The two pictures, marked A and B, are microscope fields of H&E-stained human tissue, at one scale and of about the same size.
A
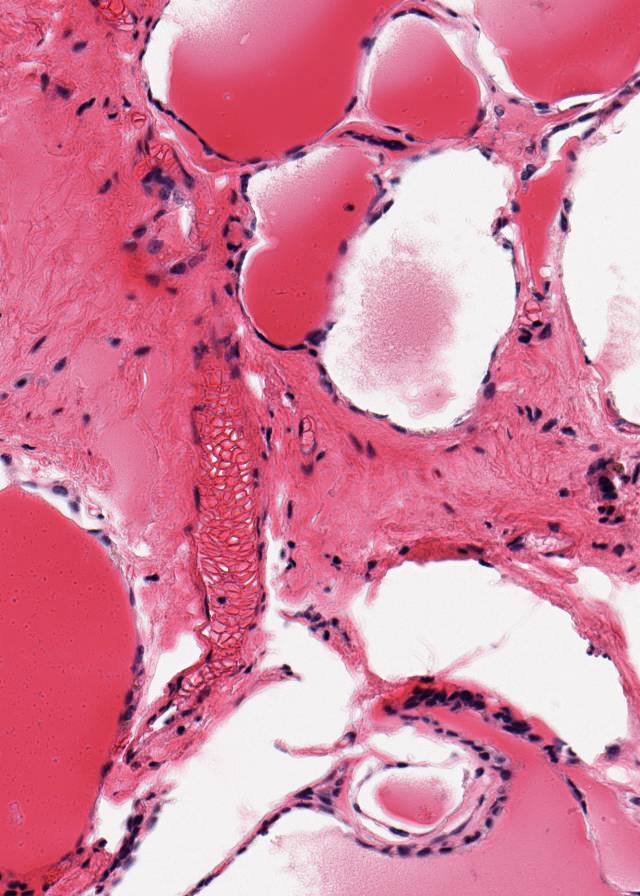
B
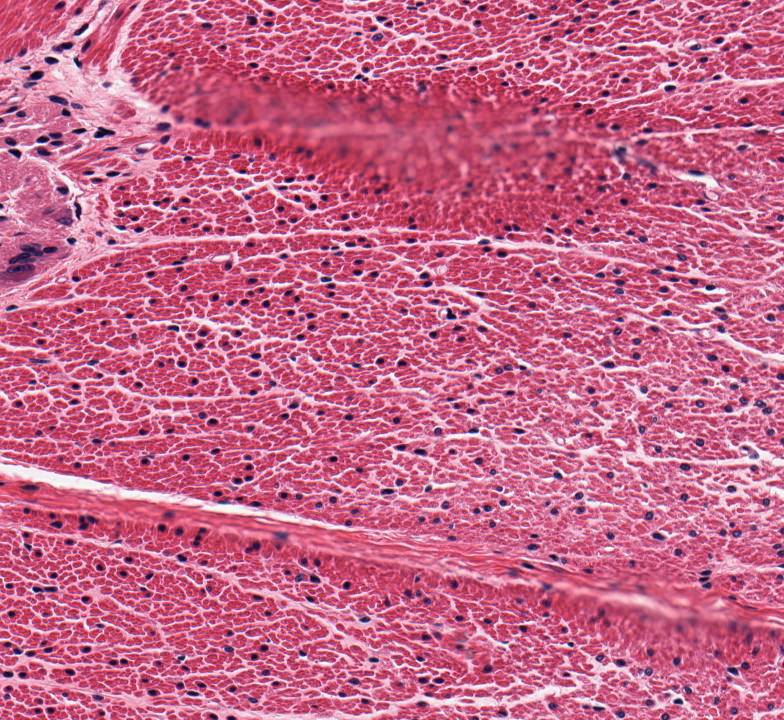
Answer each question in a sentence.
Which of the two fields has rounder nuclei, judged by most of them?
The nuclei are rounder in field B.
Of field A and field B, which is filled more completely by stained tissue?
It is field B that stained tissue fills more completely.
